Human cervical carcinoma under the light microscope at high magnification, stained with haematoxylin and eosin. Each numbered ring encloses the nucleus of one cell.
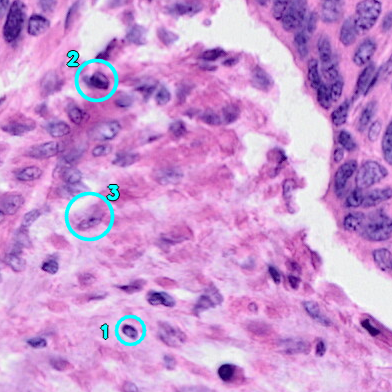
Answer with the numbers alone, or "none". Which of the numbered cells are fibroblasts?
3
